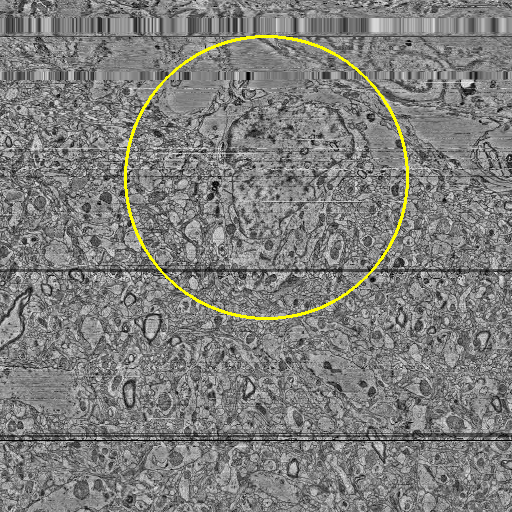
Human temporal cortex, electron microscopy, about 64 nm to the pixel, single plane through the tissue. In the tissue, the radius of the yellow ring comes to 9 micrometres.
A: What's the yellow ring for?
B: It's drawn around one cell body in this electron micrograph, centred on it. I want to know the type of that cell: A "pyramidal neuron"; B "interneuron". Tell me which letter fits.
B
